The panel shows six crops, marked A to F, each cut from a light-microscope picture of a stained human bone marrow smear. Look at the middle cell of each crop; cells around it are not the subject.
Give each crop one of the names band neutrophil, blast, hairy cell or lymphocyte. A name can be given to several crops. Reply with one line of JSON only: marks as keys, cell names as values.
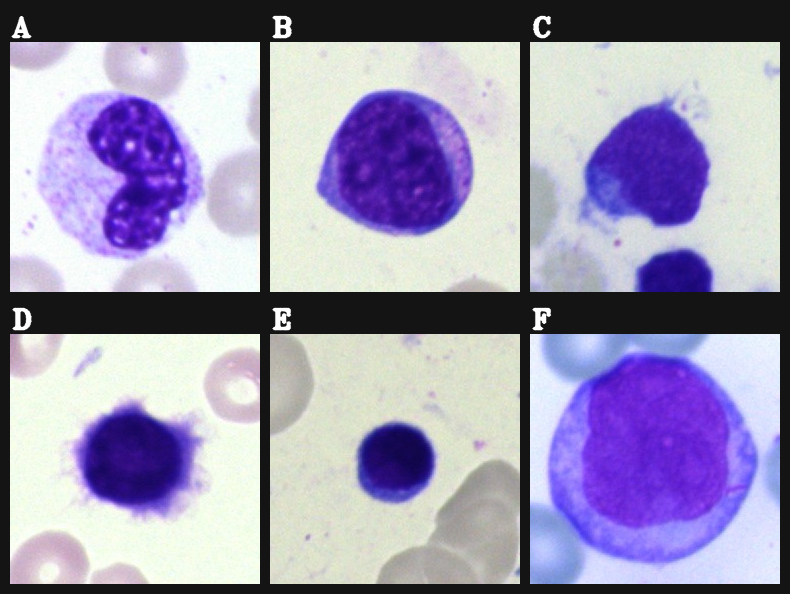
{"A": "band neutrophil", "B": "blast", "C": "blast", "D": "hairy cell", "E": "lymphocyte", "F": "blast"}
